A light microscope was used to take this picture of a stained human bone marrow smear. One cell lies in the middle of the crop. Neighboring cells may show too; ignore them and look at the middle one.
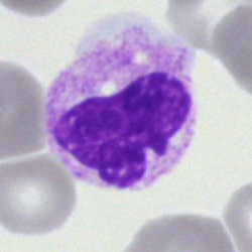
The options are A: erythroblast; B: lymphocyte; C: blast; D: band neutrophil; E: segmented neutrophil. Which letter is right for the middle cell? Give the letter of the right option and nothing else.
E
